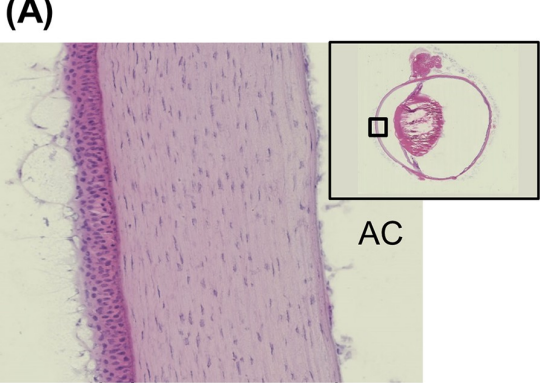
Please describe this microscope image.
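This is a cross-section through the cornea, showing its full thickness from the outer surface on the left to the inner surface on the right. On the left lies a stratified epithelium several cells thick, whose basal cells are crowded with dark purple nuclei and whose cells become flatter toward the surface. Most of the thickness is made up by the stroma, a pale pink, regularly layered connective tissue in which sparse, thin, elongated nuclei lie parallel to the surface. On the right, a thin single layer of flattened cells, the endothelium, lines the stroma and faces the empty anterior chamber. Beyond the epithelium on the far left lies loose, pale material with a few rounded clear spaces.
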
